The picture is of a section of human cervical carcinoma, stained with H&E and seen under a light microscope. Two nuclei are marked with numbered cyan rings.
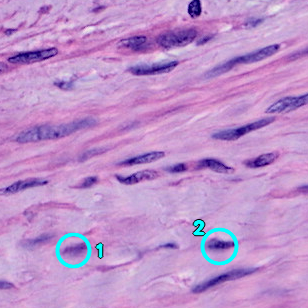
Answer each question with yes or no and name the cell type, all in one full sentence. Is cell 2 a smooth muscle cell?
No, the cell at marker 2 is not a smooth muscle cell; it is a fibroblast.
